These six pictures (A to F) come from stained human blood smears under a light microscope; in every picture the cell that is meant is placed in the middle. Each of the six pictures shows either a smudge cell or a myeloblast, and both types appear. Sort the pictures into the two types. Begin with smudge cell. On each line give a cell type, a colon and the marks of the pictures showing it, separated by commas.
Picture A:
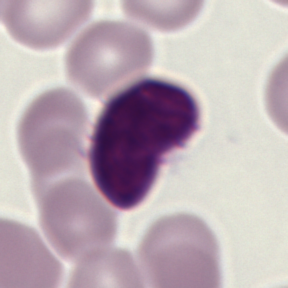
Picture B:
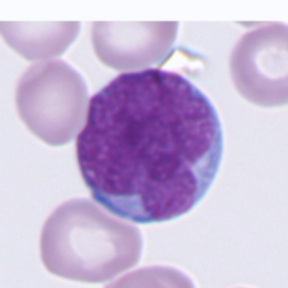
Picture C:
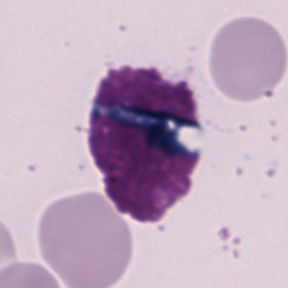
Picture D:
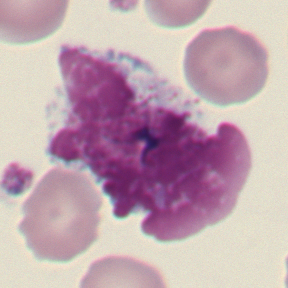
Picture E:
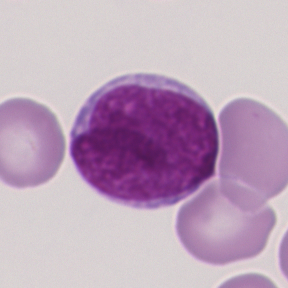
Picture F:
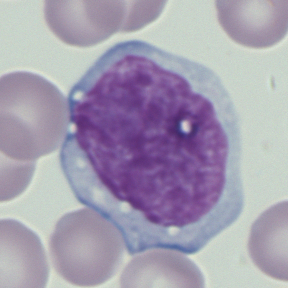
smudge cell: A, C, D
myeloblast: B, E, F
